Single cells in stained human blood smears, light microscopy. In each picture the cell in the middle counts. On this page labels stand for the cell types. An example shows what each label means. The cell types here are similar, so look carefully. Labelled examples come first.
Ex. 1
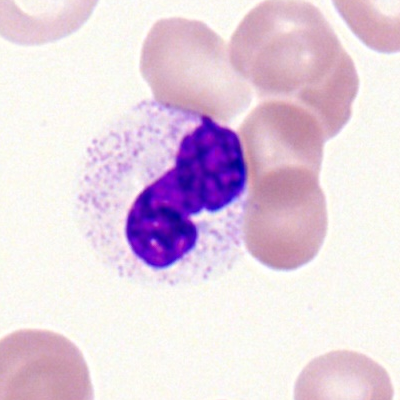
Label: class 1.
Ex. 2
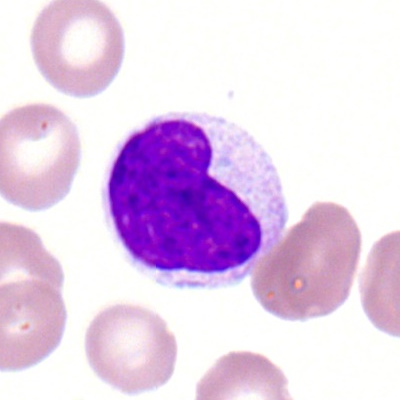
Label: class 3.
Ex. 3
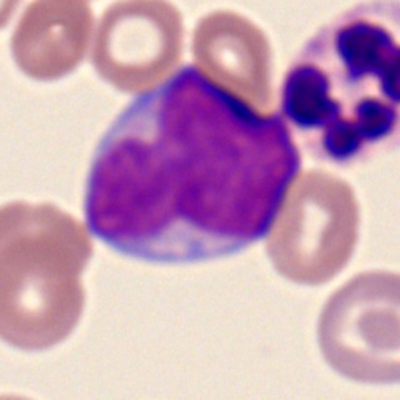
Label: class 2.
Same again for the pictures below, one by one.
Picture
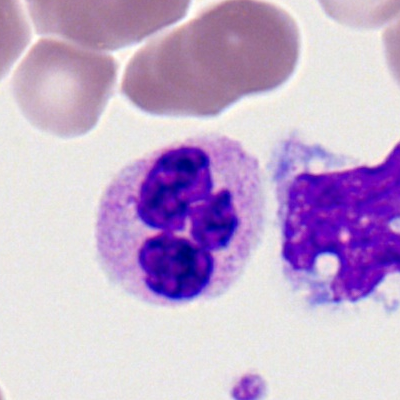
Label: class 1.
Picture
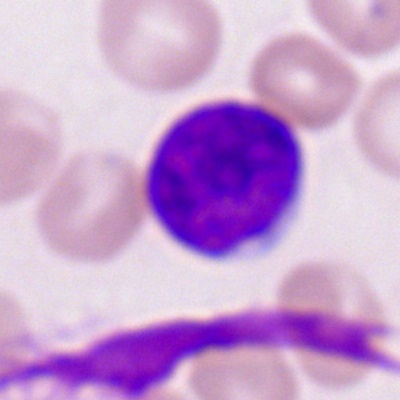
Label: class 2.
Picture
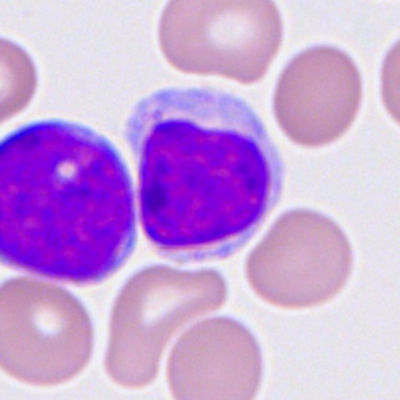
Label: class 3.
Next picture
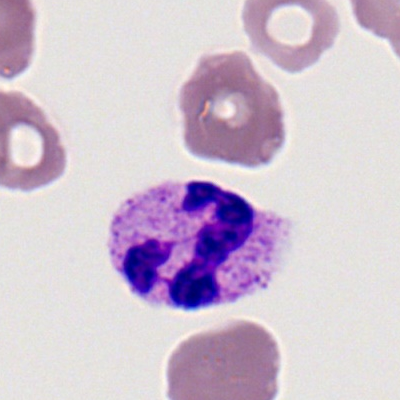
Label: class 1.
